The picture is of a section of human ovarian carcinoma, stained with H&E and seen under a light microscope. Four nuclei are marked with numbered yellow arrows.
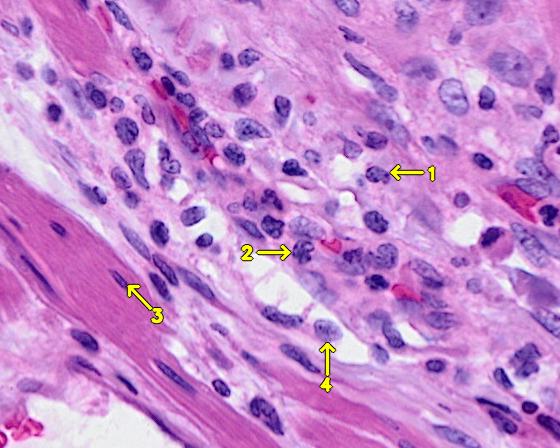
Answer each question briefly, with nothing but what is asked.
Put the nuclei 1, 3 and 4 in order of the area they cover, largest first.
4, 1, 3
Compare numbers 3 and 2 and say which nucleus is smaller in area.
3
